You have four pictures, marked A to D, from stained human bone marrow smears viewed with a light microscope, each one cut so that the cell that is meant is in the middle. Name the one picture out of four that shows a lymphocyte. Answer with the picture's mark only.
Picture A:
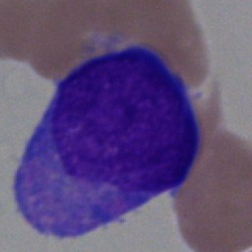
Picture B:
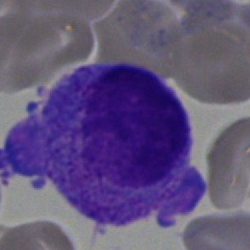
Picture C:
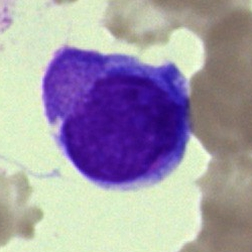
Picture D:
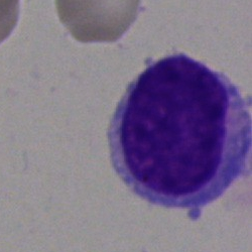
D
